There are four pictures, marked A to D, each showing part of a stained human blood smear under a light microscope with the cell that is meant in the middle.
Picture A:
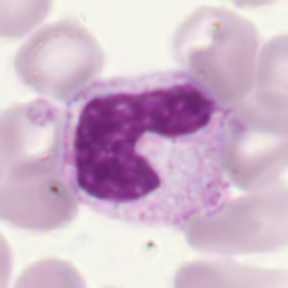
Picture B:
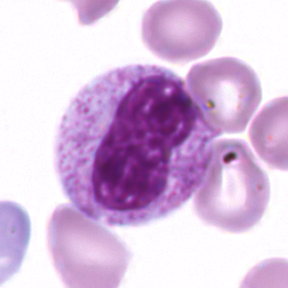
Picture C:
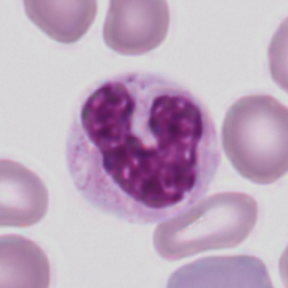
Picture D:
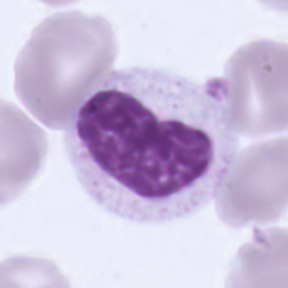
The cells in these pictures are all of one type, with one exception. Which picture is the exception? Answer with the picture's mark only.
B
